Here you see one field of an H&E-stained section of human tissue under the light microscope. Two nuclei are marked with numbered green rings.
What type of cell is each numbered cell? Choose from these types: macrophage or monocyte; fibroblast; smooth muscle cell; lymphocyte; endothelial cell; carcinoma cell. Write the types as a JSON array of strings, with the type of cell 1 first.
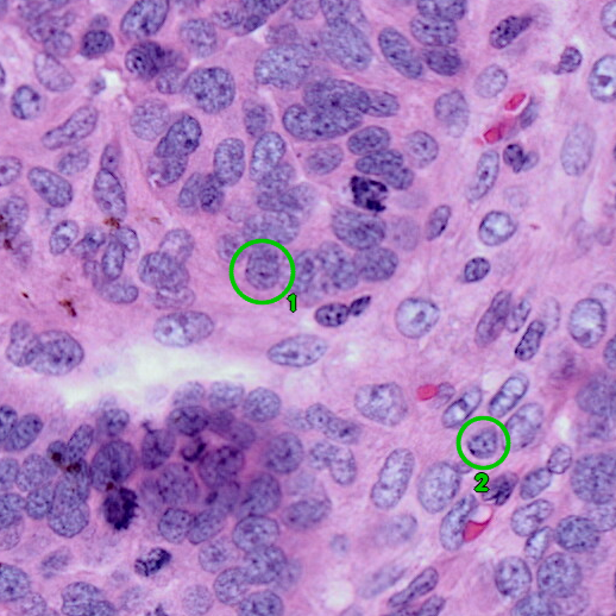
["carcinoma cell", "macrophage or monocyte"]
